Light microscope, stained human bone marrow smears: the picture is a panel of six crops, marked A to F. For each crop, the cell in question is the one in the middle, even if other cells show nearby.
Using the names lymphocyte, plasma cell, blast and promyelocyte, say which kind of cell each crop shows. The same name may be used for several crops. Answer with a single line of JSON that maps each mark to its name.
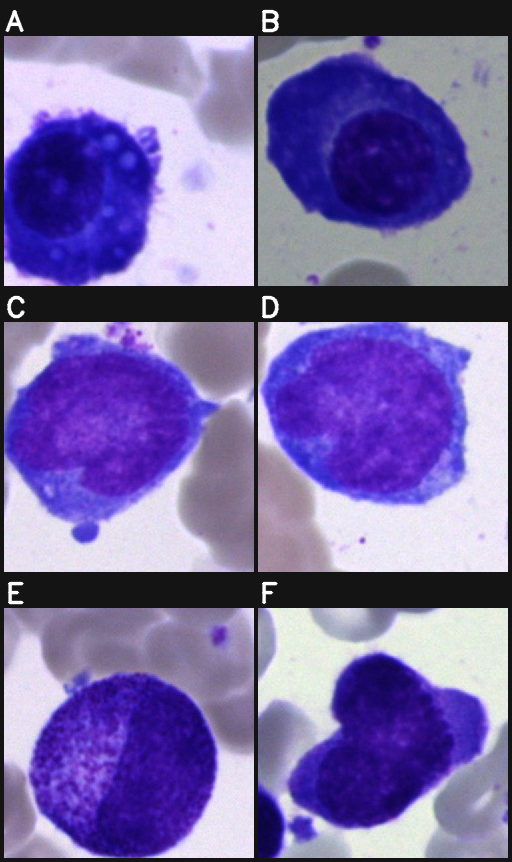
{"A": "plasma cell", "B": "plasma cell", "C": "blast", "D": "blast", "E": "promyelocyte", "F": "blast"}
